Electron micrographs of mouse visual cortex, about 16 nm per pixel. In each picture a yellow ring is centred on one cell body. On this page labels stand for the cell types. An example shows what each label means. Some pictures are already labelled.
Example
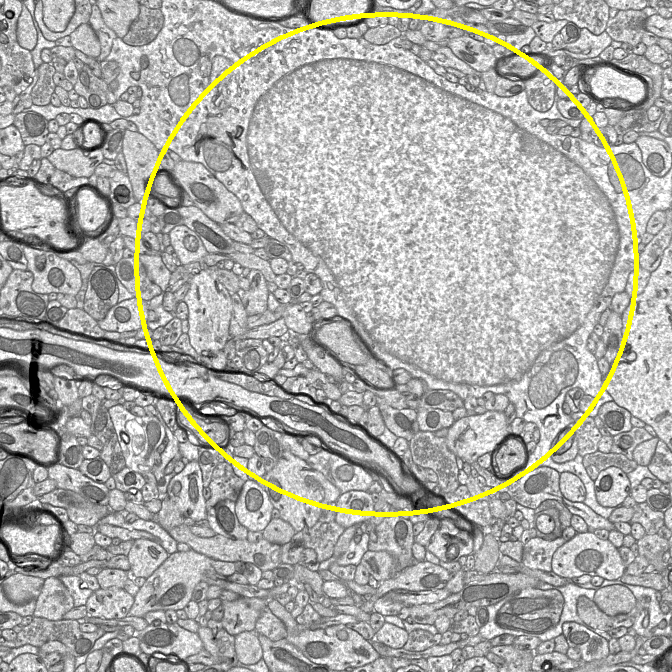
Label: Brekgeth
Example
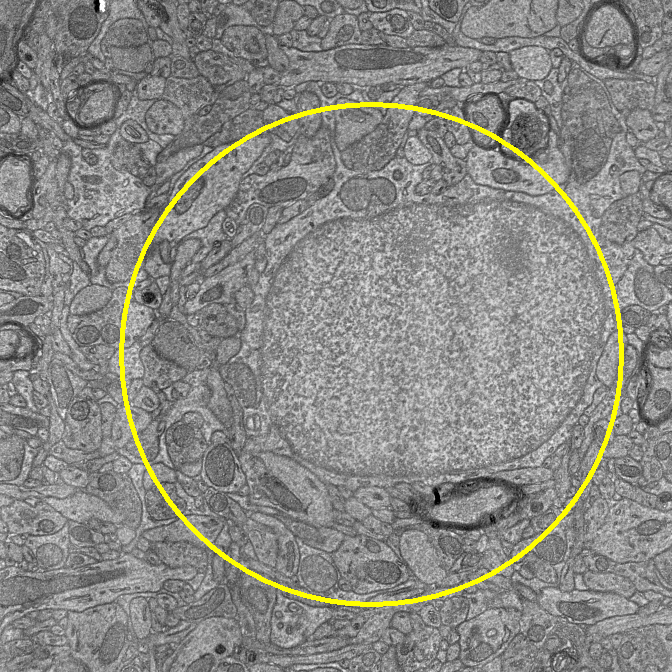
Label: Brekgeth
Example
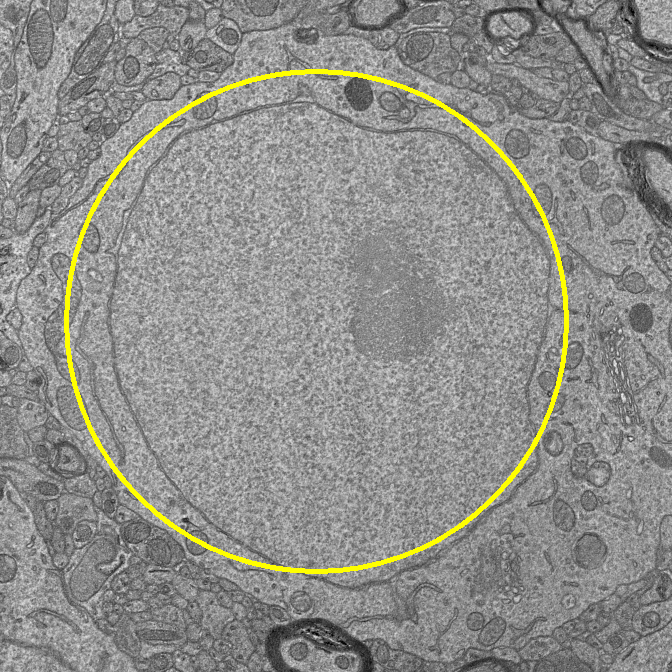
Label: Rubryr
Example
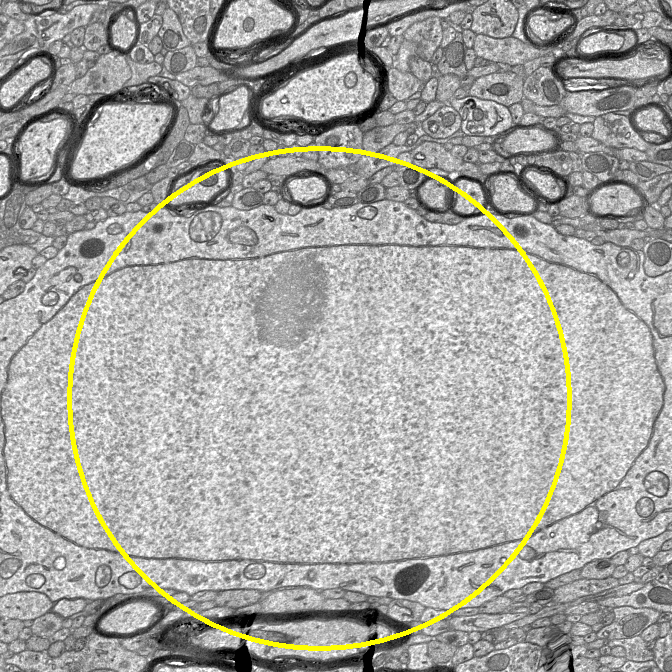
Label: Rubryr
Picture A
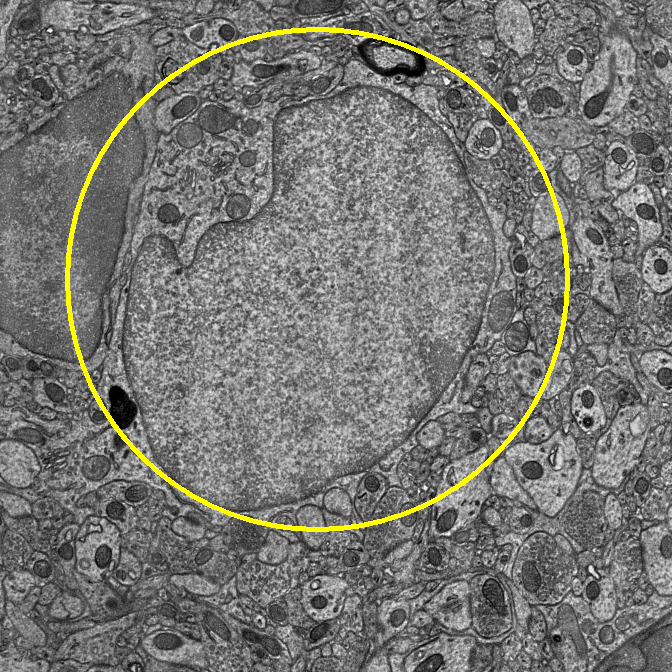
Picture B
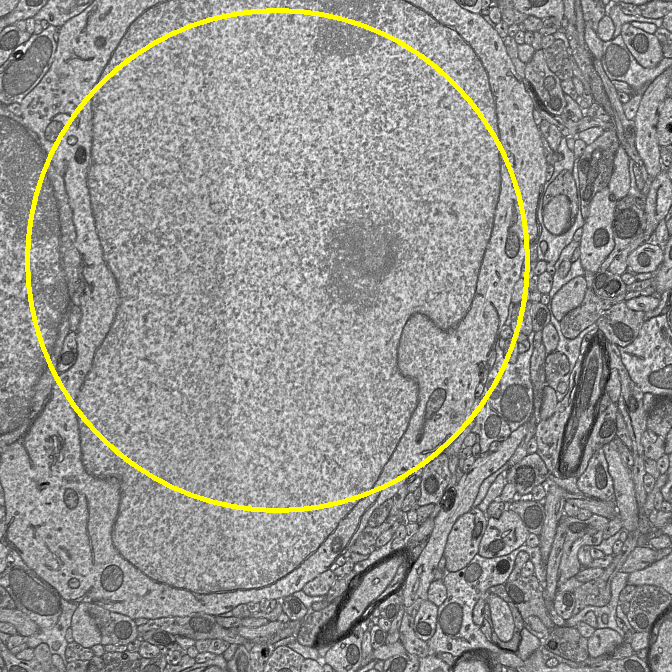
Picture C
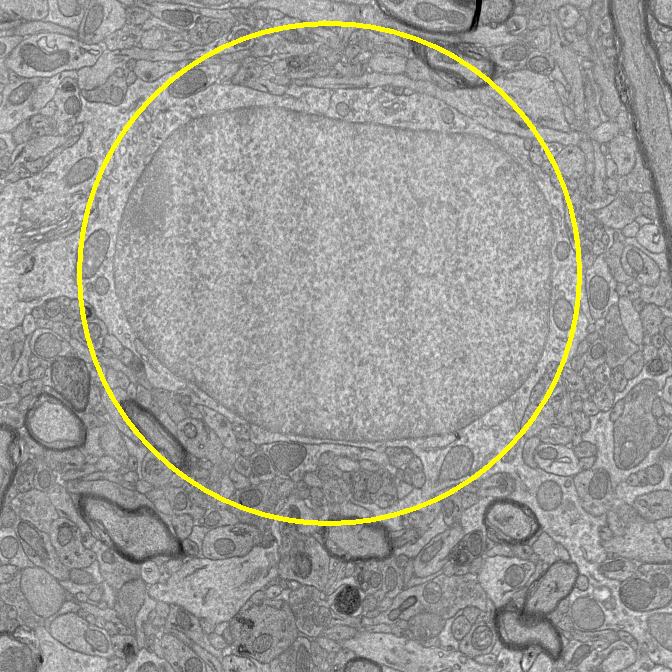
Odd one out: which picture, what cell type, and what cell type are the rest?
Exception: B, showing Rubryr. Remaining pictures: Brekgeth.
